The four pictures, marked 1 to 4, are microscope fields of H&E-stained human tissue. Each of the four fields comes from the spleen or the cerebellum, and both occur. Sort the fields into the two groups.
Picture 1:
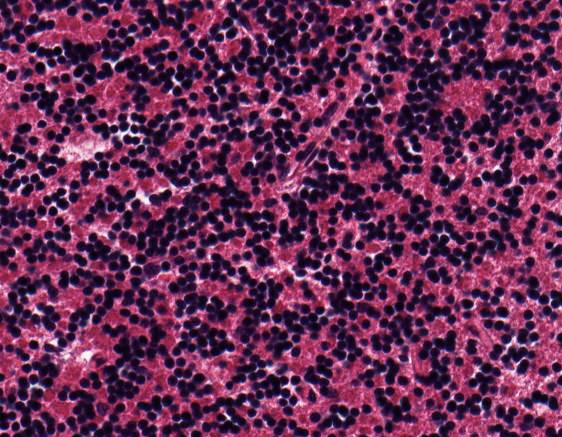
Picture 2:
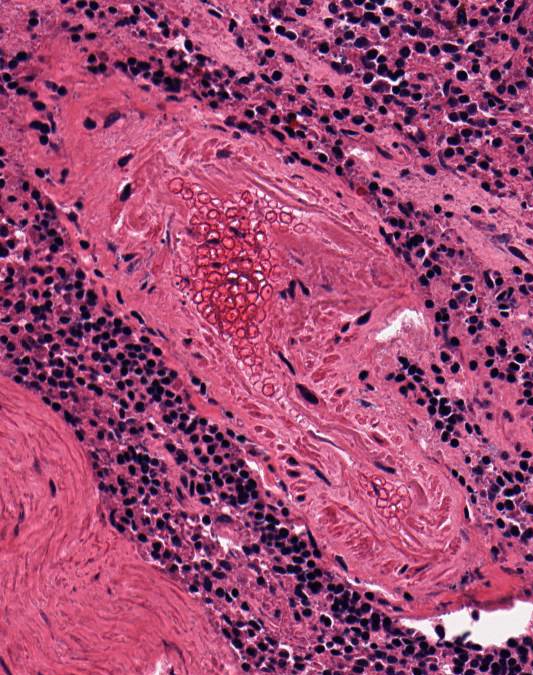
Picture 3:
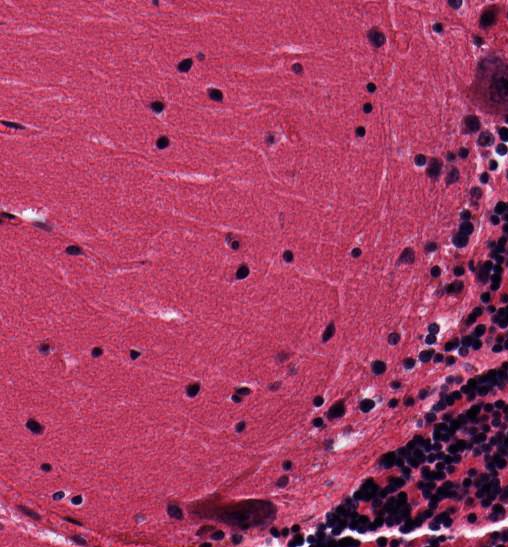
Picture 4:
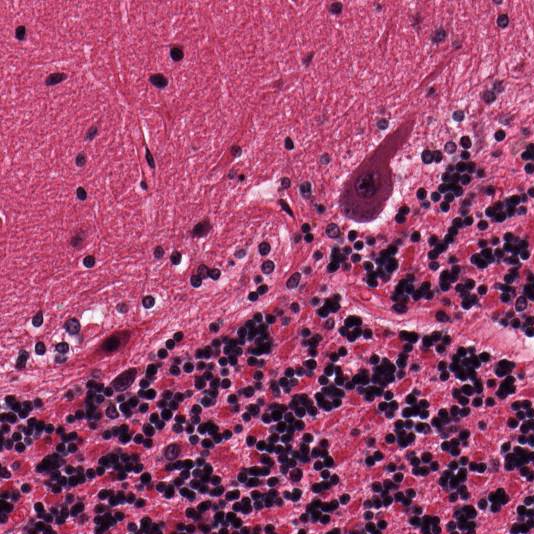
1: cerebellum
2: spleen
3: cerebellum
4: cerebellum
